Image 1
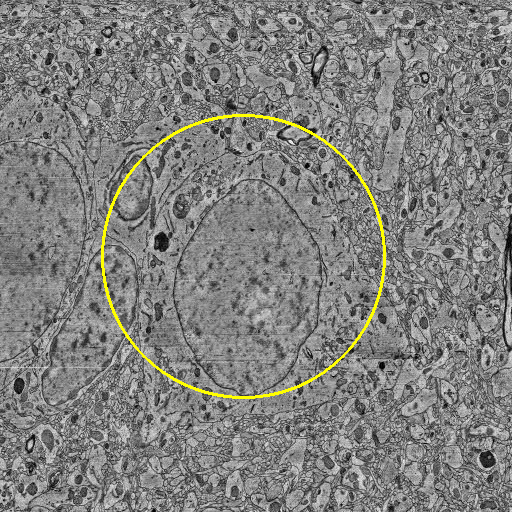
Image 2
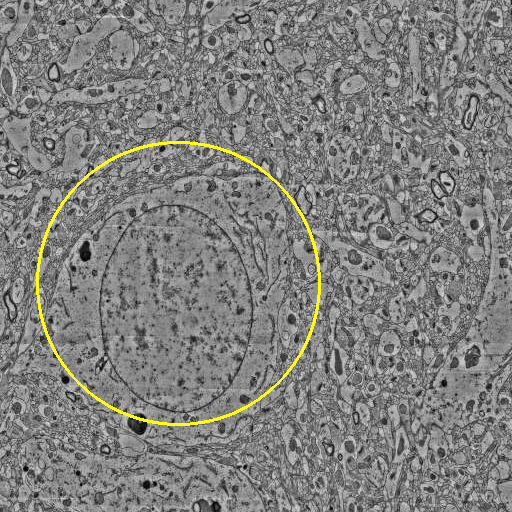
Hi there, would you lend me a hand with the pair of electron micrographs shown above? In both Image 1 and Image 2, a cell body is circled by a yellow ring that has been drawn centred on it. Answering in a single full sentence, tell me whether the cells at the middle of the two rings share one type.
Yes, the ringed cells in Image 1 and Image 2 share one type.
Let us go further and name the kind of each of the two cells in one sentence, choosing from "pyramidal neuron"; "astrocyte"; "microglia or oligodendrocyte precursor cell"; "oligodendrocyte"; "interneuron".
In each picture the ringed cell is a pyramidal neuron.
